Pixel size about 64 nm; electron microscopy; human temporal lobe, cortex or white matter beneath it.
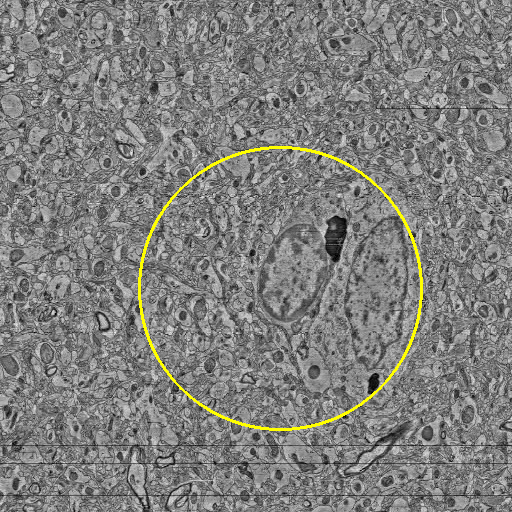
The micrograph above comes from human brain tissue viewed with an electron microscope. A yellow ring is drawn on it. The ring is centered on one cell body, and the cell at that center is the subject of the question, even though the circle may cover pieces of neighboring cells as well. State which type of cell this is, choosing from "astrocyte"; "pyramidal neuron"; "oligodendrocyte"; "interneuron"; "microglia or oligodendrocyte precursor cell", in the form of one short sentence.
The cell the ring is centered on is an oligodendrocyte.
